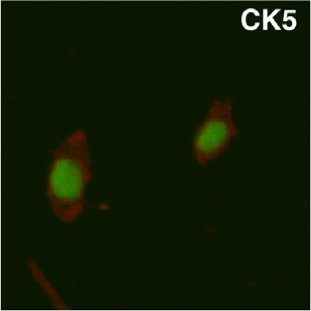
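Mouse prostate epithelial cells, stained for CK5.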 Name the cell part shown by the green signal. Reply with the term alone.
Nucleus.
